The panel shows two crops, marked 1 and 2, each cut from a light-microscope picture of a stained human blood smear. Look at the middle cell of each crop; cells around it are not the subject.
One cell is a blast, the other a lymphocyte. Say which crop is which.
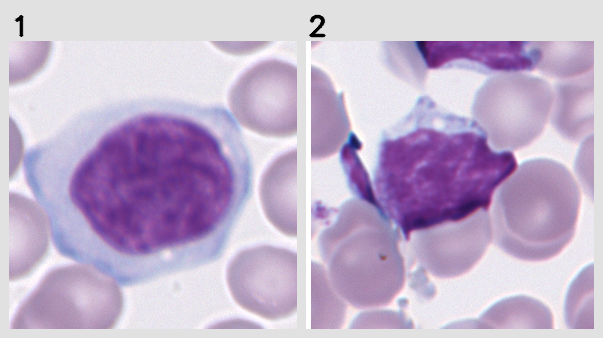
1: blast
2: lymphocyte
